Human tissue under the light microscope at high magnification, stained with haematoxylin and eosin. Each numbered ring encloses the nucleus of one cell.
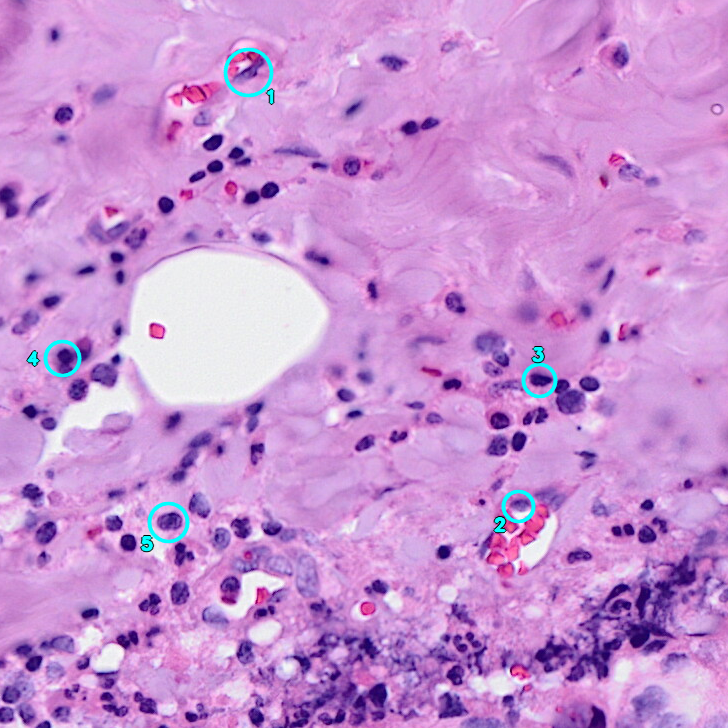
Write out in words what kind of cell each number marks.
Cells 1 and 2 are endothelial cells. Cells 3, 4 and 5 are lymphocytes.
